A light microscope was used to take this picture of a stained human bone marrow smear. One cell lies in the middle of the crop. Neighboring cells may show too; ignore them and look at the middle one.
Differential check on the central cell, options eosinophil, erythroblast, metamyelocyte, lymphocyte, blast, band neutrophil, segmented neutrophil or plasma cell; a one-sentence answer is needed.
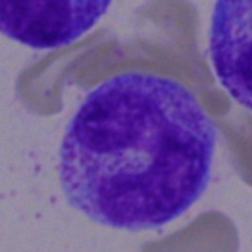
The centered cell in this crop is a band neutrophil.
